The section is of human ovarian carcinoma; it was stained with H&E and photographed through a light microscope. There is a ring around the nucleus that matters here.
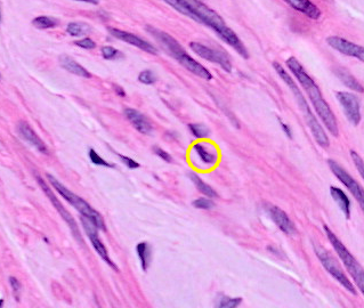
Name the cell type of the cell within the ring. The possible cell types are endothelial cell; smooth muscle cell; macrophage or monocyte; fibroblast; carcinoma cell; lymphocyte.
smooth muscle cell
